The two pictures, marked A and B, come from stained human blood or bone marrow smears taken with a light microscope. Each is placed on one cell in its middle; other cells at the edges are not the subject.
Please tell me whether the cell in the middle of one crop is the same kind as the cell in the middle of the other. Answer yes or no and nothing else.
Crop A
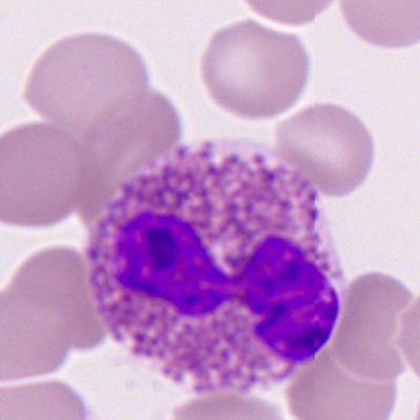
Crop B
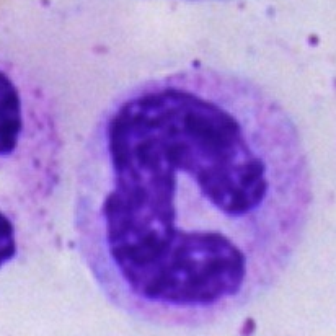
no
